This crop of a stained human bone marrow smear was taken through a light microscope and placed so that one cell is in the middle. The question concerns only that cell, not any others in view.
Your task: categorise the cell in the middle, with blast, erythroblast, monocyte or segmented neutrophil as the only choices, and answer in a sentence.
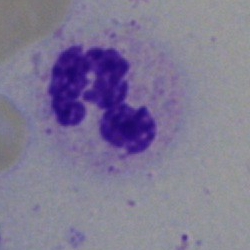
The cell shown in the center of this light-microscope crop is a segmented neutrophil.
